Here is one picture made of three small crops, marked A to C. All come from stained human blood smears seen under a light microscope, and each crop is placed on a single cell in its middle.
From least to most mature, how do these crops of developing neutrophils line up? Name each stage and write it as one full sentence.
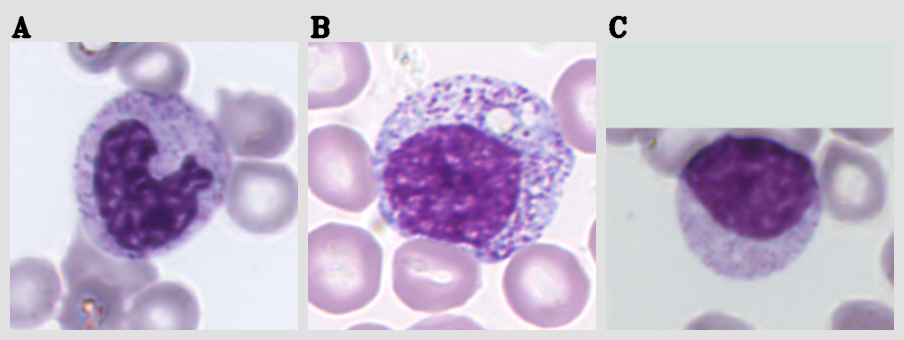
The ordering by maturity, from earliest to most mature, is crop B (a promyelocyte), crop C (a myelocyte) and crop A (a band neutrophil).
